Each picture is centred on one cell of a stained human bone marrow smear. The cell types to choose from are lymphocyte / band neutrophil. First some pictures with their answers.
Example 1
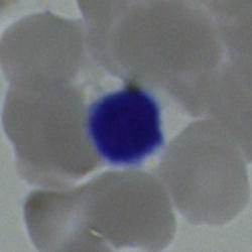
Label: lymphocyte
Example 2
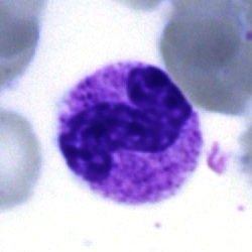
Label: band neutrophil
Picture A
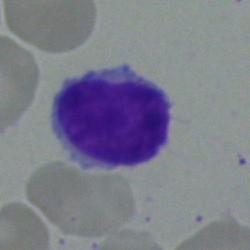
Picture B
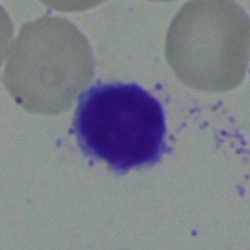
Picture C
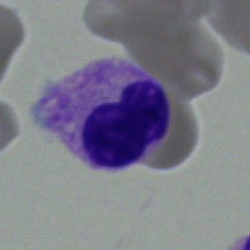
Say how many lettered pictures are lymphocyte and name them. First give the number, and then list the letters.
2, namely A, B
